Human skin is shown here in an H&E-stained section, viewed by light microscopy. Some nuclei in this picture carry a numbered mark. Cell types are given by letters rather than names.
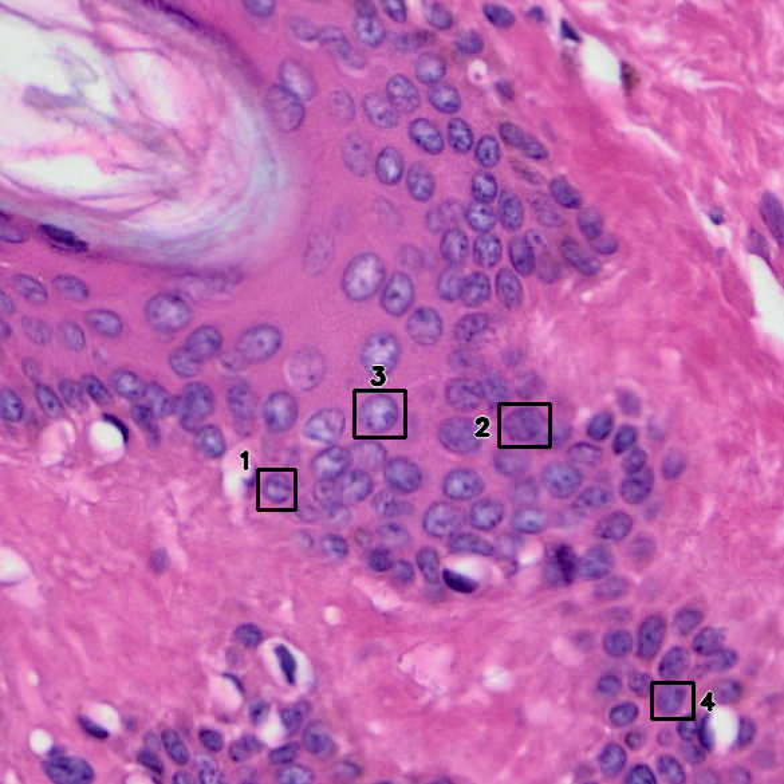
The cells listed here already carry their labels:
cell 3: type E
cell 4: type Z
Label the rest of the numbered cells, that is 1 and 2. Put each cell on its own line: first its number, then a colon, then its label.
1: type Z
2: type Z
